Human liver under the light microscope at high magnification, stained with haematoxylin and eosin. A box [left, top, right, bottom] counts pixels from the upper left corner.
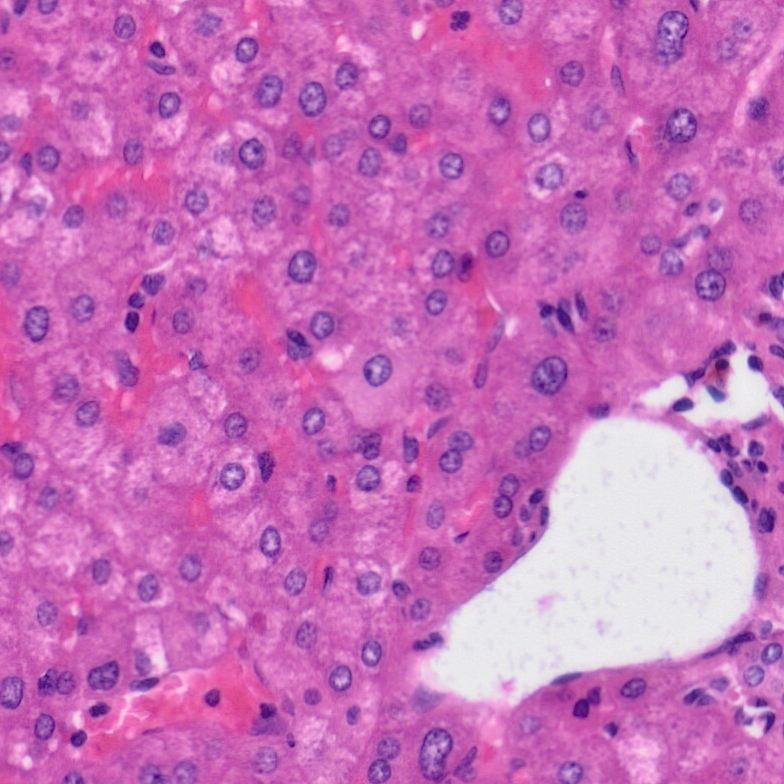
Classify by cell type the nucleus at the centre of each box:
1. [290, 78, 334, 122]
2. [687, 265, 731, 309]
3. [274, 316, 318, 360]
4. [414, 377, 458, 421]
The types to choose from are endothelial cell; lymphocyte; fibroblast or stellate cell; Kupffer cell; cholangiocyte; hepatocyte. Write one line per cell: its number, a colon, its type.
1: hepatocyte
2: hepatocyte
3: fibroblast or stellate cell
4: hepatocyte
